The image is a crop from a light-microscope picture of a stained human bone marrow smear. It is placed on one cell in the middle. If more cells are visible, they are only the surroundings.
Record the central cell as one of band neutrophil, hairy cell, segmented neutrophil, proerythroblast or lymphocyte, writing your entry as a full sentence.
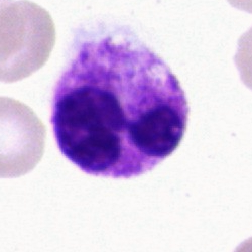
As for the cell in the middle, it is a segmented neutrophil.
